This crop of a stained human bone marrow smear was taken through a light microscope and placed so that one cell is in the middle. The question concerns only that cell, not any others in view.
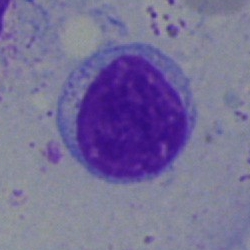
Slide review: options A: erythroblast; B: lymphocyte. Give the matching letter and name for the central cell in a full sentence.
The cell centred in the crop is a lymphocyte, and the correct option is thus B.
